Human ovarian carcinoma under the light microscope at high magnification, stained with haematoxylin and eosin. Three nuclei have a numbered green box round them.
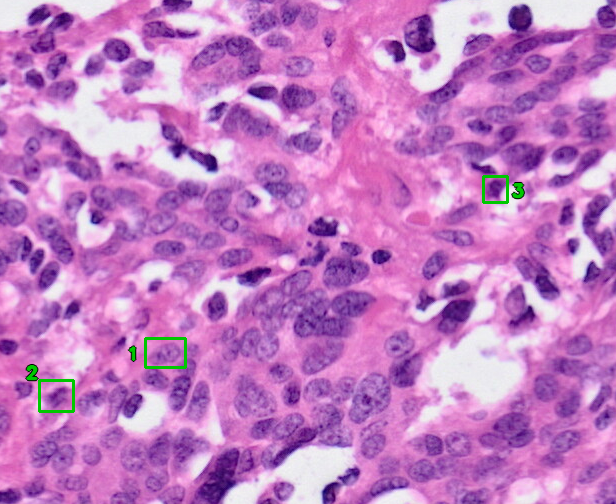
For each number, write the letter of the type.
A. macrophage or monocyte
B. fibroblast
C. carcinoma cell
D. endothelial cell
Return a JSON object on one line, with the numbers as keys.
{"1": "C", "2": "A", "3": "C"}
